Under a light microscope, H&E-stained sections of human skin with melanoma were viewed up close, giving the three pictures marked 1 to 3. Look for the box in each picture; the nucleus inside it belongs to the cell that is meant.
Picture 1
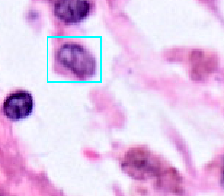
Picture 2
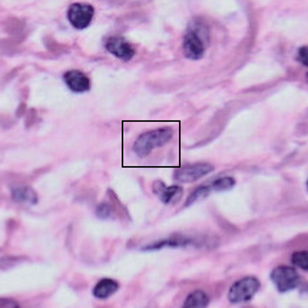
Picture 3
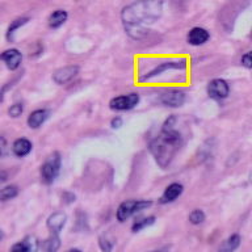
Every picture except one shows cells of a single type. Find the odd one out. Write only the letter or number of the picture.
3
